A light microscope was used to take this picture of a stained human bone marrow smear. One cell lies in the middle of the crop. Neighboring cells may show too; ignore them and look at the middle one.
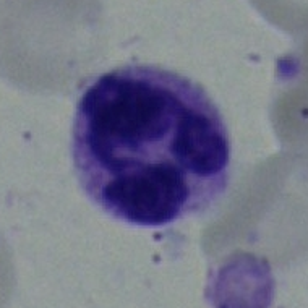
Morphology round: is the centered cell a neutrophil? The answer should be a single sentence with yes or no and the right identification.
Yes, the cell in the central position is a neutrophil.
